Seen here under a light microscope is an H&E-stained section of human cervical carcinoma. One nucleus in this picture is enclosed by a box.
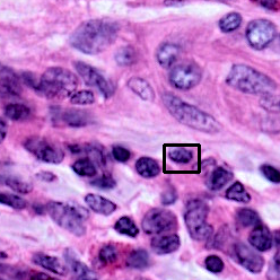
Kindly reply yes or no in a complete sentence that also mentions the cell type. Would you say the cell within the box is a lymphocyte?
Yes, correct on this one: the cell within the box is a lymphocyte.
